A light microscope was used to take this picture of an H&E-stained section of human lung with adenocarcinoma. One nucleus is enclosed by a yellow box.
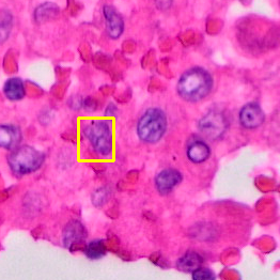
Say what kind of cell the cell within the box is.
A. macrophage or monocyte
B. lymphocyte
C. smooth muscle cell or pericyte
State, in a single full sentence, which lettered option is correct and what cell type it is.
Hey, it is option A: the cell within the box is a macrophage or monocyte.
